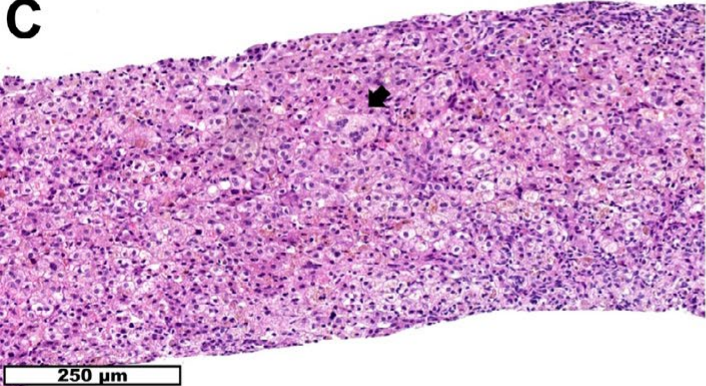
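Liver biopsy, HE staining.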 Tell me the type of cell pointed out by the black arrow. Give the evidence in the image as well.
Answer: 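The arrow points to a large pale-pink cell much bigger than the surrounding hepatocytes. The cell holds several nuclei. On this evidence: multinucleated giant cell hepatocytes.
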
